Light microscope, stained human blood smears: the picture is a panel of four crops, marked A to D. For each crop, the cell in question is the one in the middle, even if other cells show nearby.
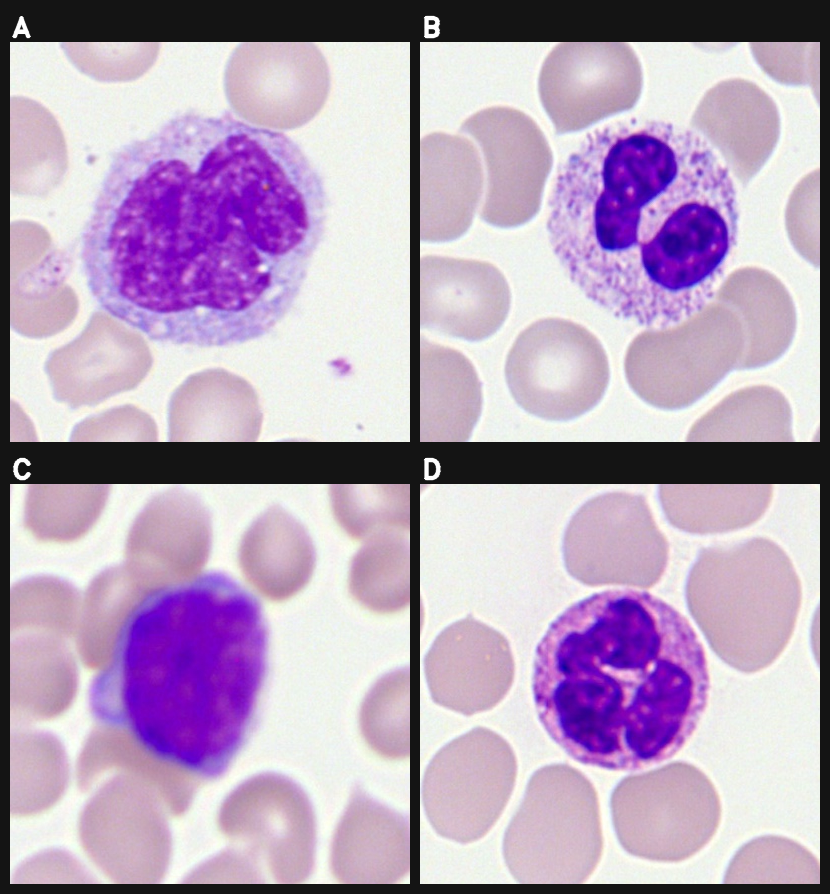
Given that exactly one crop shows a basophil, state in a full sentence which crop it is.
The crop that shows a basophil is crop D.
